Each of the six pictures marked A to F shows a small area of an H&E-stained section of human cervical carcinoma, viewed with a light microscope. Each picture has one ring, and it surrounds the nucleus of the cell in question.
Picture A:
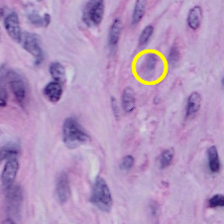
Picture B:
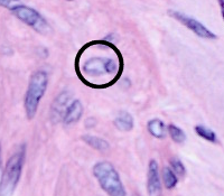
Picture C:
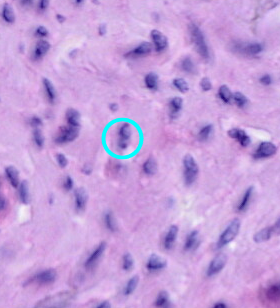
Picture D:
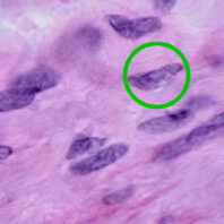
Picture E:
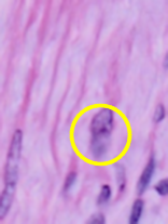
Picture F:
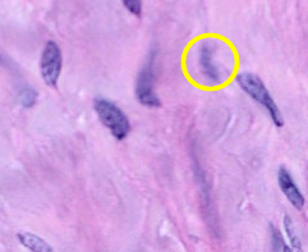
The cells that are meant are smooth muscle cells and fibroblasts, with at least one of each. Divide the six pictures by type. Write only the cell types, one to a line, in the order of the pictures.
smooth muscle cell
smooth muscle cell
fibroblast
fibroblast
smooth muscle cell
fibroblast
